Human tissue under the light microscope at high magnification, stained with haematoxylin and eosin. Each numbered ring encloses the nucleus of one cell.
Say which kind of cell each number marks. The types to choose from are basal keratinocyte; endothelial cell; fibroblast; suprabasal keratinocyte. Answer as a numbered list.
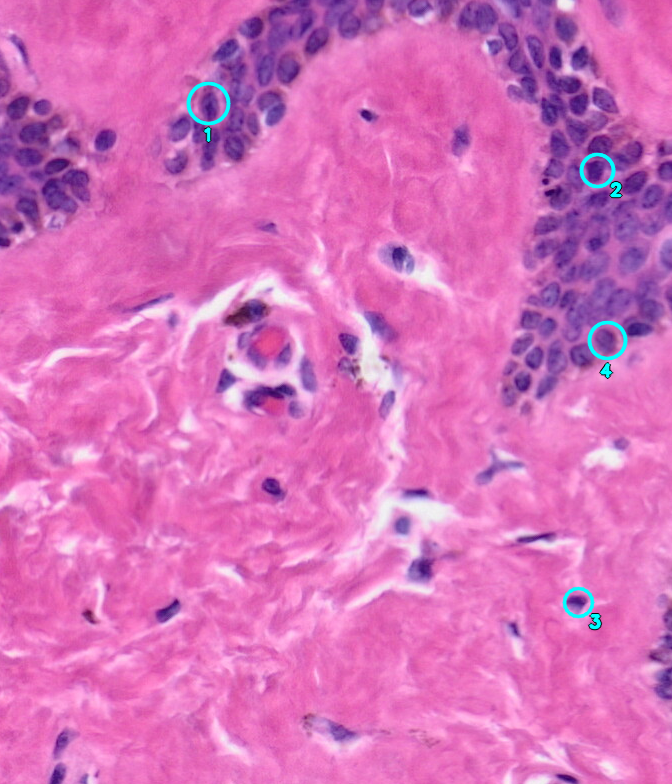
1. basal keratinocyte
2. basal keratinocyte
3. fibroblast
4. basal keratinocyte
